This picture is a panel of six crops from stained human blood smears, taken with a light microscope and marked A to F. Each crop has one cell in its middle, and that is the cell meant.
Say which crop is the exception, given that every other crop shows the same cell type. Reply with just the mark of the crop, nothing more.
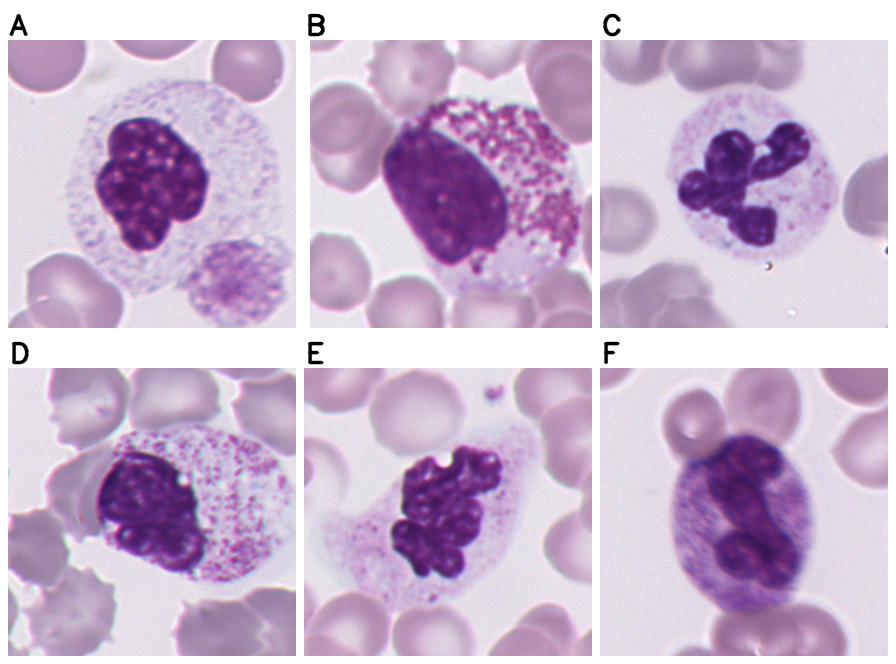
B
